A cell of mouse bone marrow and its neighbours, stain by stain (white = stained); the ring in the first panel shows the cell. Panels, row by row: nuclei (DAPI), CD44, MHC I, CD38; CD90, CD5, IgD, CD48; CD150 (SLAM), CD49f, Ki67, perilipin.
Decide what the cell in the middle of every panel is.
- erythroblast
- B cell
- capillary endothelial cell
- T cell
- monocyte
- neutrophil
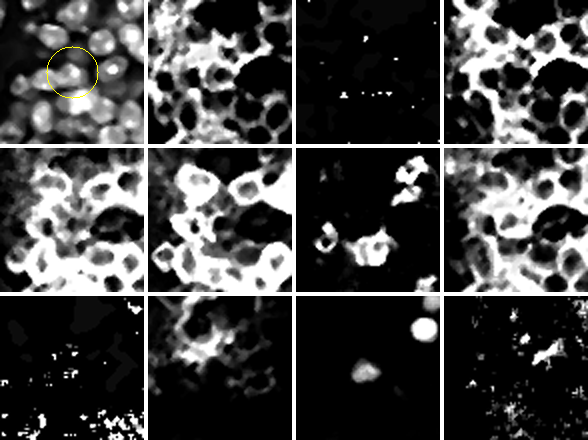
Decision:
monocyte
